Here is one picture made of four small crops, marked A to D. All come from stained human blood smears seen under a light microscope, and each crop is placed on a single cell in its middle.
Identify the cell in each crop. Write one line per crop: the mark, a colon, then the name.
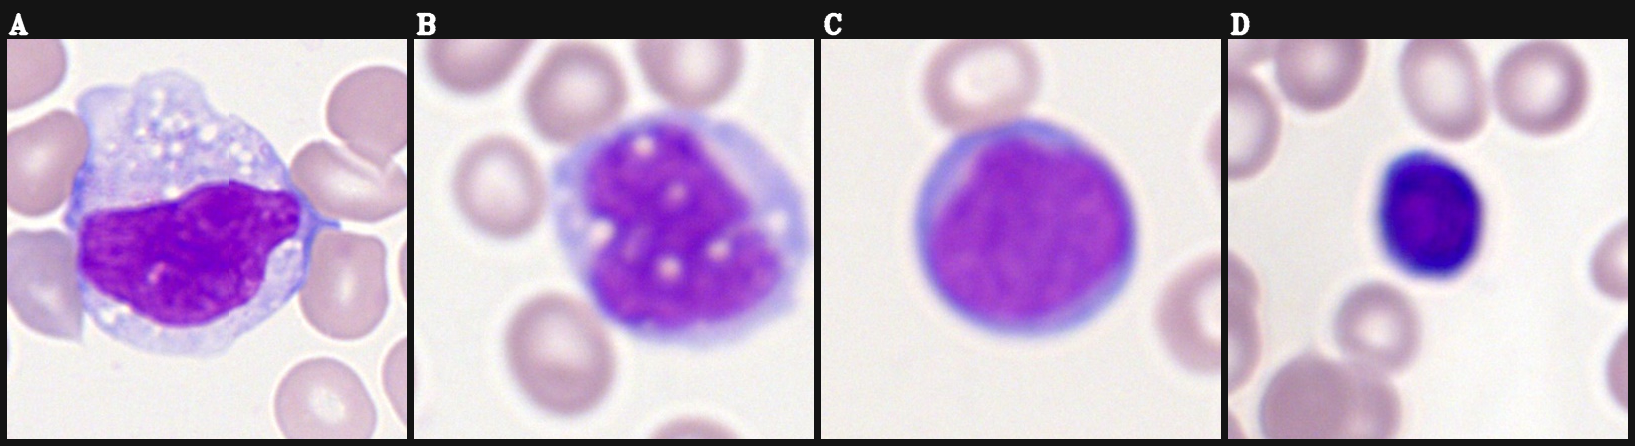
A: monocyte
B: monocyte
C: myeloblast
D: lymphocyte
